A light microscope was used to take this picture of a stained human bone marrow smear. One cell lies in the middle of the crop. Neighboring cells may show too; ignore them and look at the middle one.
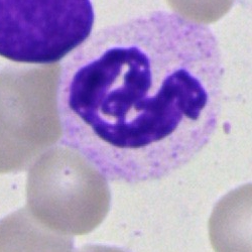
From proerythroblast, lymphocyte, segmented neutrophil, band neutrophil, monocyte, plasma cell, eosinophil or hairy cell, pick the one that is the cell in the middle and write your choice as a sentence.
Here the cell in the middle is a segmented neutrophil.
